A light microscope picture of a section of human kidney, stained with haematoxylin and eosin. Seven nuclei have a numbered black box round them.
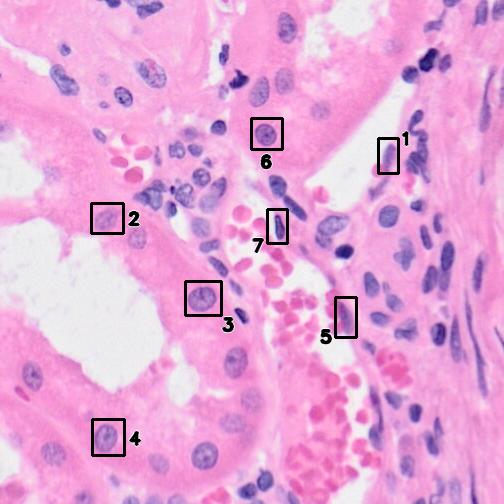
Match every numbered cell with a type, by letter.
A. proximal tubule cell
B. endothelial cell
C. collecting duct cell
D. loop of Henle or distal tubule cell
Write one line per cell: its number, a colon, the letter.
1: B
2: A
3: A
4: A
5: B
6: A
7: B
